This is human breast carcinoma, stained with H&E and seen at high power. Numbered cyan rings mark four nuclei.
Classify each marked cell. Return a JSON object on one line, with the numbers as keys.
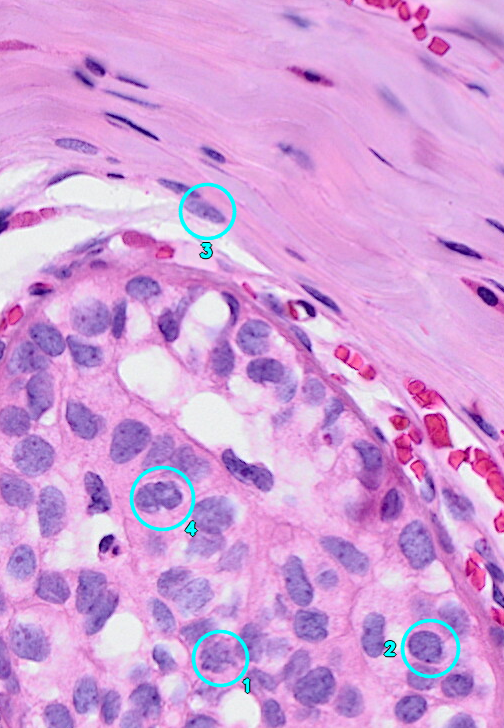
{"1": "carcinoma cell", "2": "carcinoma cell", "3": "fibroblast", "4": "carcinoma cell"}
